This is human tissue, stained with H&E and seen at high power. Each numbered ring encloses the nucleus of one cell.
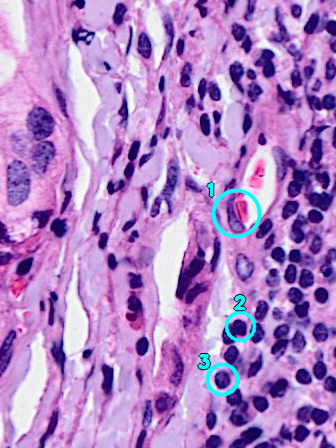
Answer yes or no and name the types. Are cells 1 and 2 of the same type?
No, the cell marked 1 is an endothelial cell, and the cell marked 2 is a lymphocyte.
